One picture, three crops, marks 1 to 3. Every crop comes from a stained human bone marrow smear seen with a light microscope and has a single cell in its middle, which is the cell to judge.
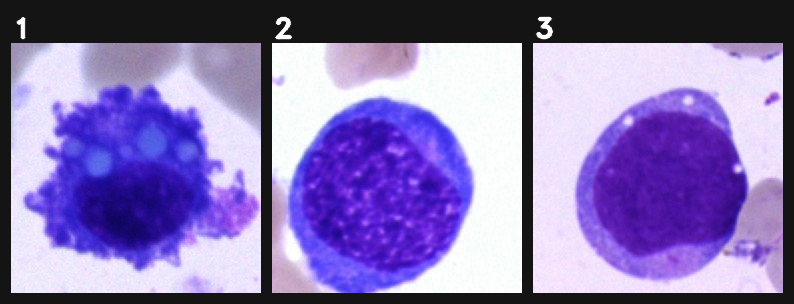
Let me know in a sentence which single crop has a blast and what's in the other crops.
Crop 3 carries a blast in its middle, whereas crop 1 is a plasma cell and crop 2 is an erythroblast.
